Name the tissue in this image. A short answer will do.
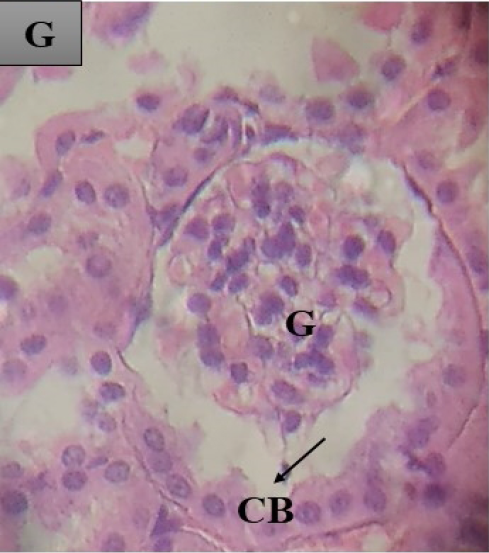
Kidneys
